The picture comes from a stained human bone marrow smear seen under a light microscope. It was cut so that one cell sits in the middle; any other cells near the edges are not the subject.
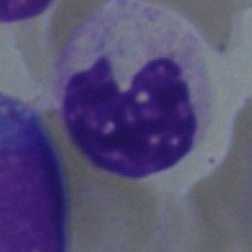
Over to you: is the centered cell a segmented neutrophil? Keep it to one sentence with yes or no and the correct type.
No, the cell placed at the center is a band neutrophil rather than a segmented neutrophil.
